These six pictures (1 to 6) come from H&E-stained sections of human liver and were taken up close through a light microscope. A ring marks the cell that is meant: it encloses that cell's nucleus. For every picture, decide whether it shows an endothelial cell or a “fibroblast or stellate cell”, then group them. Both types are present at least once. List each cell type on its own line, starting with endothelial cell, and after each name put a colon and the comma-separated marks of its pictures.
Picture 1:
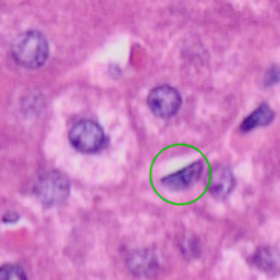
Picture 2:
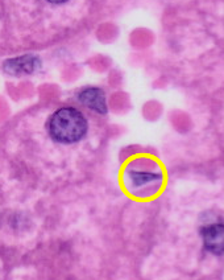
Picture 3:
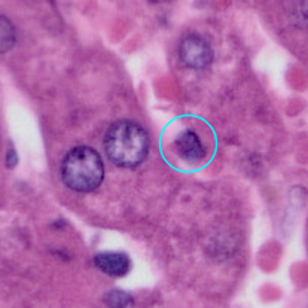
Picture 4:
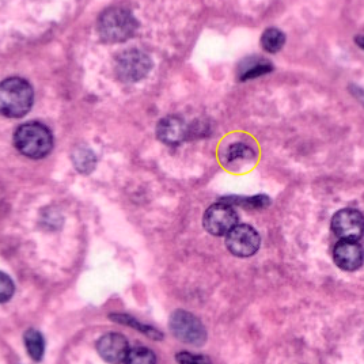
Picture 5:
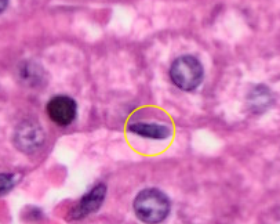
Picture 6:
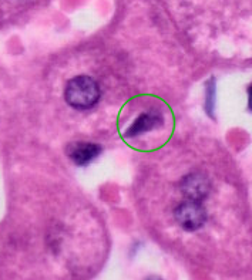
endothelial cell: 1, 2, 3, 5
fibroblast or stellate cell: 4, 6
